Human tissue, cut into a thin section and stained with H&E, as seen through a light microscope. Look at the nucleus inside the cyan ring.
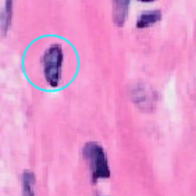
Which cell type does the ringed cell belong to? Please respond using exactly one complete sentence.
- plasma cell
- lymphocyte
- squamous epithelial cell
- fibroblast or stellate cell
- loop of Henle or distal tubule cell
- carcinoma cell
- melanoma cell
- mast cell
Students should answer that the ringed cell is a lymphocyte.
